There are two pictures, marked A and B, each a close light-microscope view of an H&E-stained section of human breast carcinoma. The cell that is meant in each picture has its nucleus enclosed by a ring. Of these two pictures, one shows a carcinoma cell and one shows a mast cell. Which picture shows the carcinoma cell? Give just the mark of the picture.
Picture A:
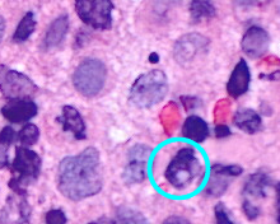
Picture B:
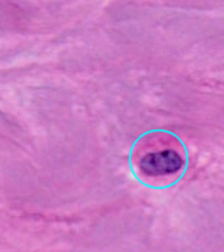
A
